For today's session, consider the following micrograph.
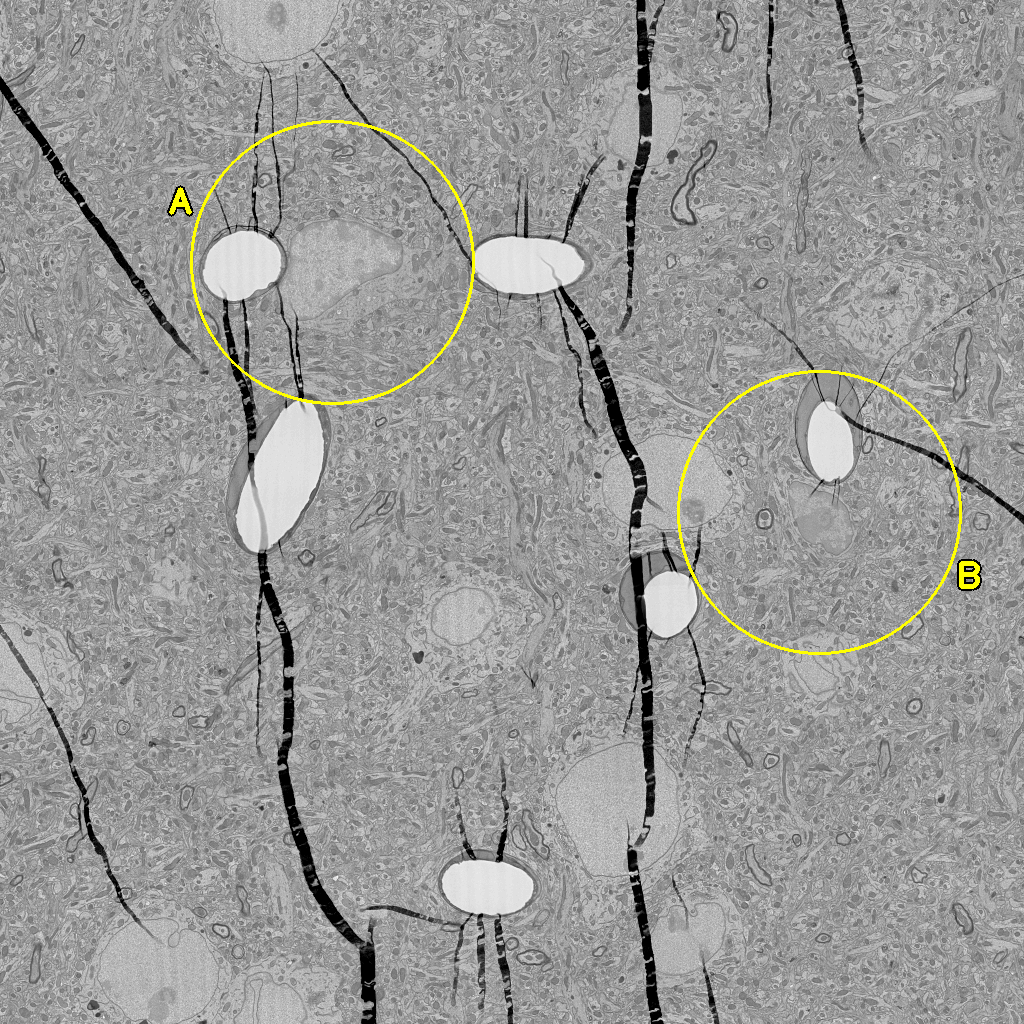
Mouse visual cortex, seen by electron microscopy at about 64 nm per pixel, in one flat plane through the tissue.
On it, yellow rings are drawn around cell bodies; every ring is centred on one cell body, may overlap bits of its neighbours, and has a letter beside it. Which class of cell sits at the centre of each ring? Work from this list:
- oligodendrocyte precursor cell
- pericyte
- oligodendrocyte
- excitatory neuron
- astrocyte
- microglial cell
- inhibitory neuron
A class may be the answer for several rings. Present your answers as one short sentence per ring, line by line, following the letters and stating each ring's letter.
Ring A centres on an oligodendrocyte.
Ring B centres on a microglial cell.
